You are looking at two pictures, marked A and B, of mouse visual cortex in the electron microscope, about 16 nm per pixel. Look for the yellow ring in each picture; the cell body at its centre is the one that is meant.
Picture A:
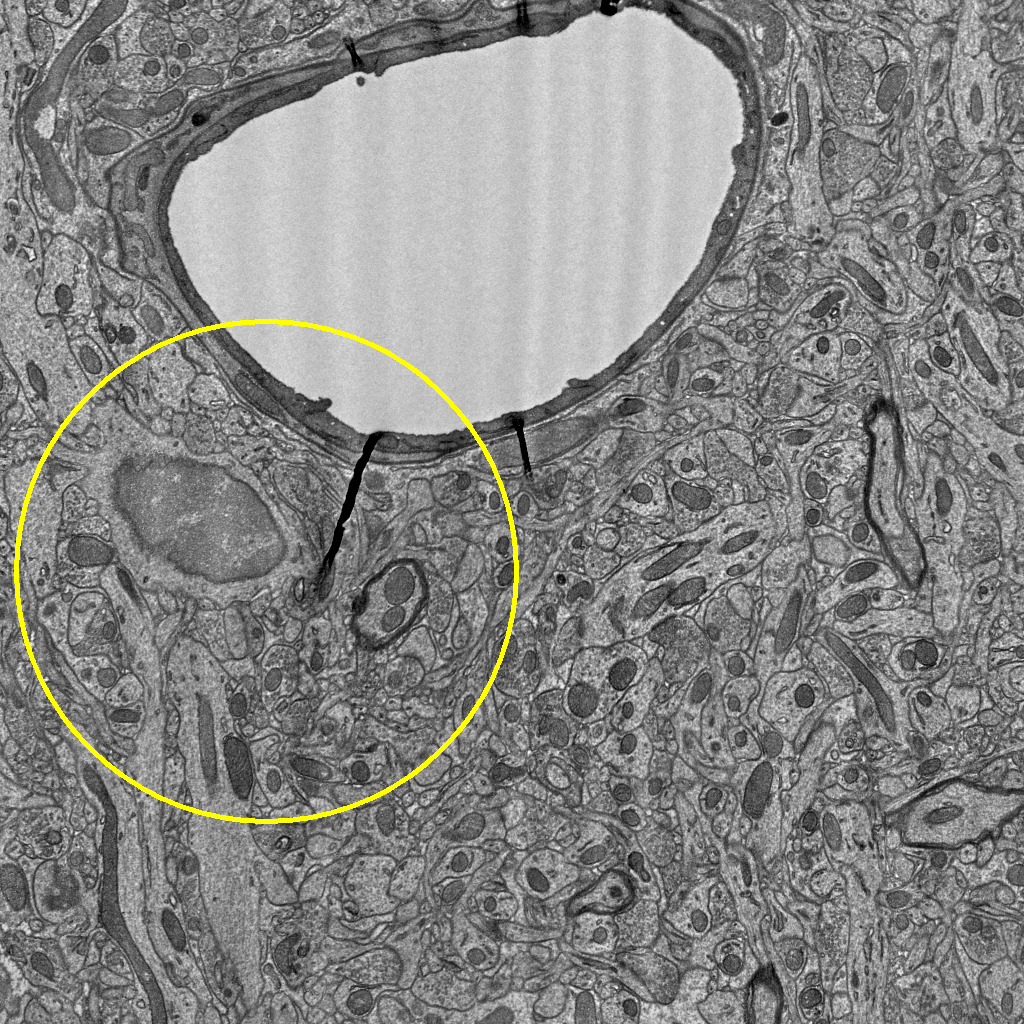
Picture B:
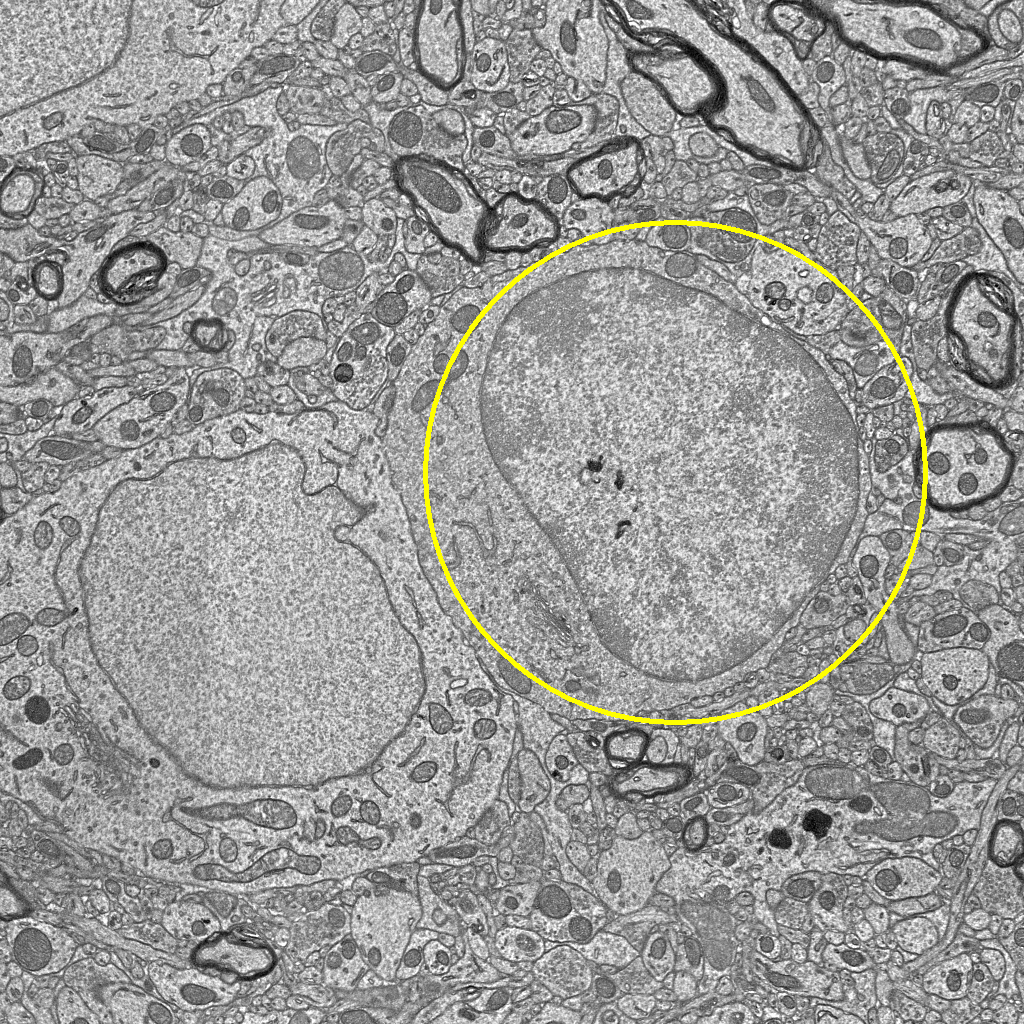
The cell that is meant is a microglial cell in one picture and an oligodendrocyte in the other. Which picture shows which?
In picture A the cell is a microglial cell; in picture B, an oligodendrocyte.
